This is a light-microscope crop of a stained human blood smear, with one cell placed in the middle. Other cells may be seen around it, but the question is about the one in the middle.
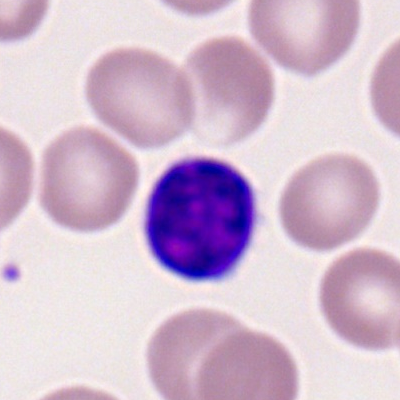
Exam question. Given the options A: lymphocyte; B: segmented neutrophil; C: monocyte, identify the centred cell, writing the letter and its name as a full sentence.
Since the middle cell is a lymphocyte, option A is the right one.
